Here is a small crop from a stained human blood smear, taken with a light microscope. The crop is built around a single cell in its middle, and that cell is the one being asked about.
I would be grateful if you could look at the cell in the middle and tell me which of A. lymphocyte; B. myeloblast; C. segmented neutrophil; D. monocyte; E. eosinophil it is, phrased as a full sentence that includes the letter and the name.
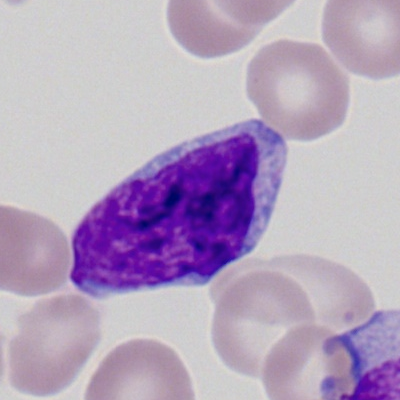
The cell right in the middle is a myeloblast, so option B is the one.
